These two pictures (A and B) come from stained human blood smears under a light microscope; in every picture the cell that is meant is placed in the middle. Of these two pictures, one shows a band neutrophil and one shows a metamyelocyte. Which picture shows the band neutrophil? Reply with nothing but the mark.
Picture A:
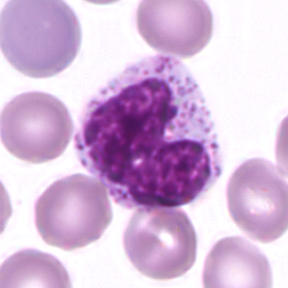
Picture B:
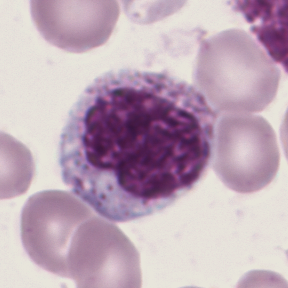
A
